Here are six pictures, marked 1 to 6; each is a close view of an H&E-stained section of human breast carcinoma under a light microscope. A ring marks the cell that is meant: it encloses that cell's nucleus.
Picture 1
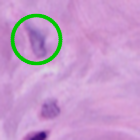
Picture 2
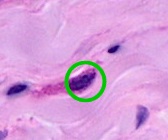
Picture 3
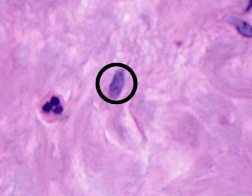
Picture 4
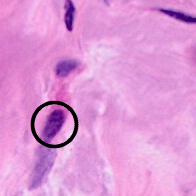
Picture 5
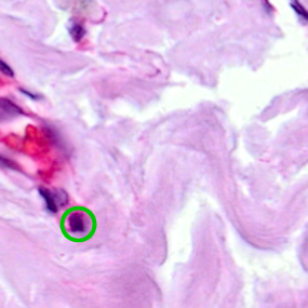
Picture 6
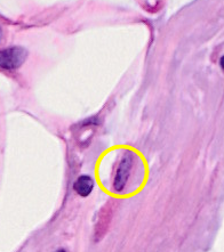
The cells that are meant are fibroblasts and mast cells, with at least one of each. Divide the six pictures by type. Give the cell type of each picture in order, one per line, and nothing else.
fibroblast
mast cell
fibroblast
mast cell
mast cell
mast cell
